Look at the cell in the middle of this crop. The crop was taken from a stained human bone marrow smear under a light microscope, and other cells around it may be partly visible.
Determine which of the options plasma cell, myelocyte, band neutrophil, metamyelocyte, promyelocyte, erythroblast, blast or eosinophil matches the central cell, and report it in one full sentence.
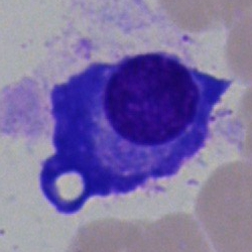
The cell occupying the middle of the crop is a plasma cell.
